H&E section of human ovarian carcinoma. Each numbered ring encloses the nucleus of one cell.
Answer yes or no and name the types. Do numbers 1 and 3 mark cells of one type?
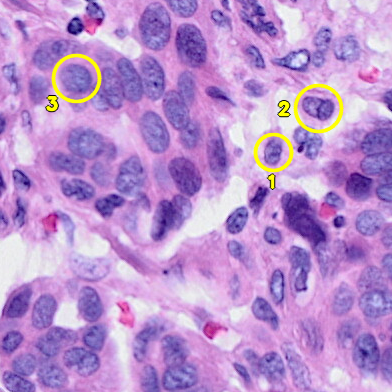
No, cell 1 is a macrophage or monocyte, and cell 3 is a carcinoma cell.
